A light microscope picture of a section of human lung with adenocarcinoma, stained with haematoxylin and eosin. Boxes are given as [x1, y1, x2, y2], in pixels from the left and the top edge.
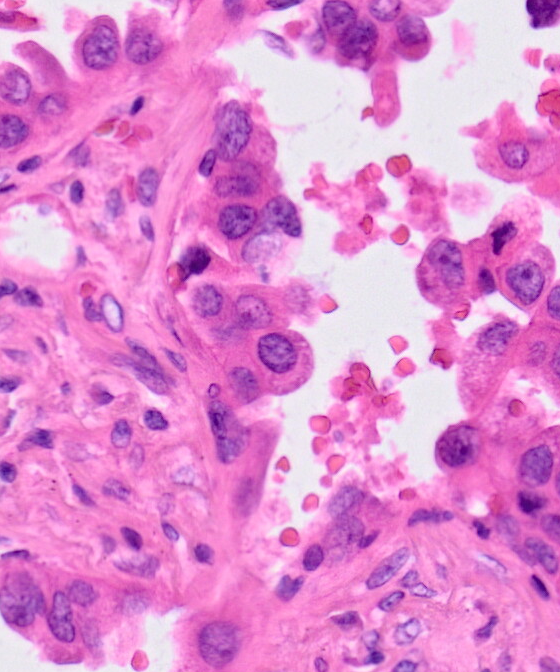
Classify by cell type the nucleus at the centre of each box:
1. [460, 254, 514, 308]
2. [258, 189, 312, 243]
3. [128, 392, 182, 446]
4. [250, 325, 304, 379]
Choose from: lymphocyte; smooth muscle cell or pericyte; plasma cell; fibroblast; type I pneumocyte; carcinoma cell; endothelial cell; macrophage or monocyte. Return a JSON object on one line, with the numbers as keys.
{"1": "carcinoma cell", "2": "carcinoma cell", "3": "lymphocyte", "4": "carcinoma cell"}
